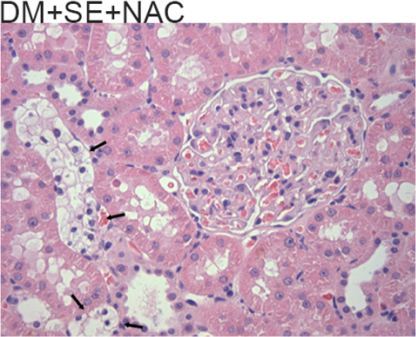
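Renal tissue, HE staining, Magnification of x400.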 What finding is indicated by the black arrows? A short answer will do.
Tubular vacuolization.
